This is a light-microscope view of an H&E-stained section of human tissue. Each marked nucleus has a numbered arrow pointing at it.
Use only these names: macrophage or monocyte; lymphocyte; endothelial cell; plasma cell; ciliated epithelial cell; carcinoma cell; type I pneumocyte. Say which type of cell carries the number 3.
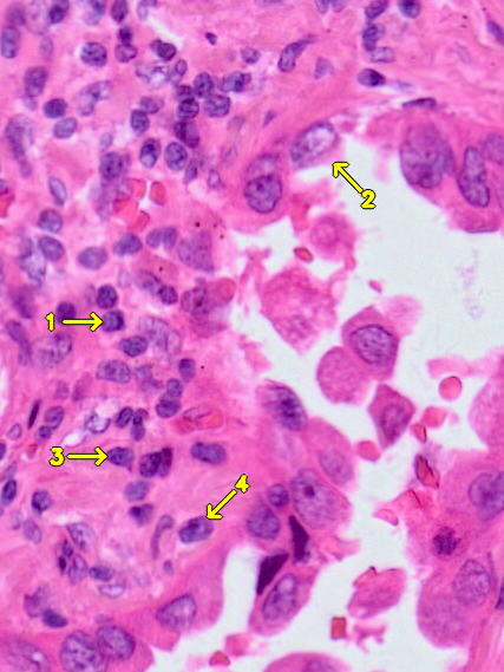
lymphocyte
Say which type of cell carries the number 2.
carcinoma cell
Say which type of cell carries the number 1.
lymphocyte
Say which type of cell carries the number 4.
lymphocyte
